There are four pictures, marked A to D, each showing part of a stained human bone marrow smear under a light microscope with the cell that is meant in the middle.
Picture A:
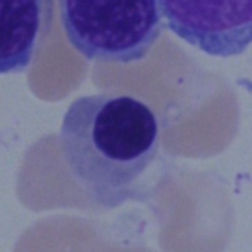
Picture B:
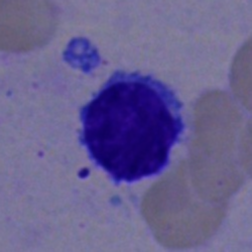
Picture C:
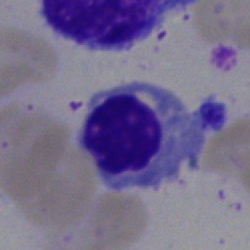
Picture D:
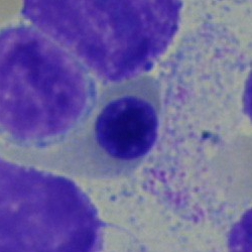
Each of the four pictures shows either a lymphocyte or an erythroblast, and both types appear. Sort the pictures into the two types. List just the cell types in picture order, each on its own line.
erythroblast
lymphocyte
erythroblast
erythroblast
